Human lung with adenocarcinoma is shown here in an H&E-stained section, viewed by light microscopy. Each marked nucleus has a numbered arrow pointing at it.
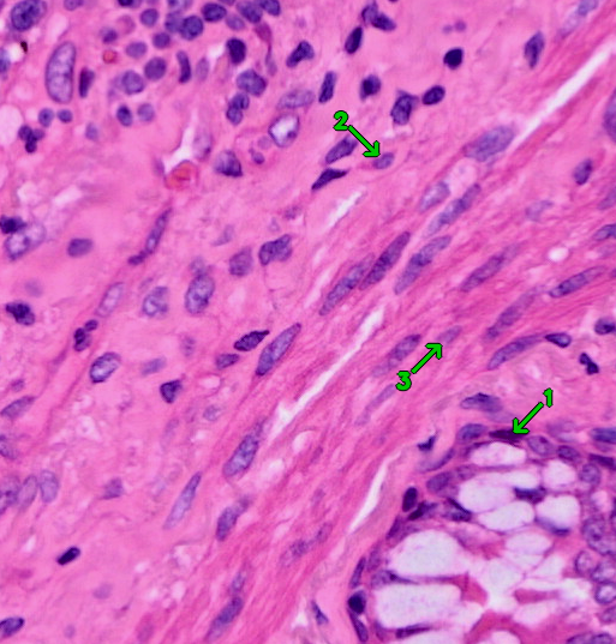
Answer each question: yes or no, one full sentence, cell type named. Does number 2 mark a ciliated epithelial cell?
No, the cell under number 2 is a mast cell, not a ciliated epithelial cell.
